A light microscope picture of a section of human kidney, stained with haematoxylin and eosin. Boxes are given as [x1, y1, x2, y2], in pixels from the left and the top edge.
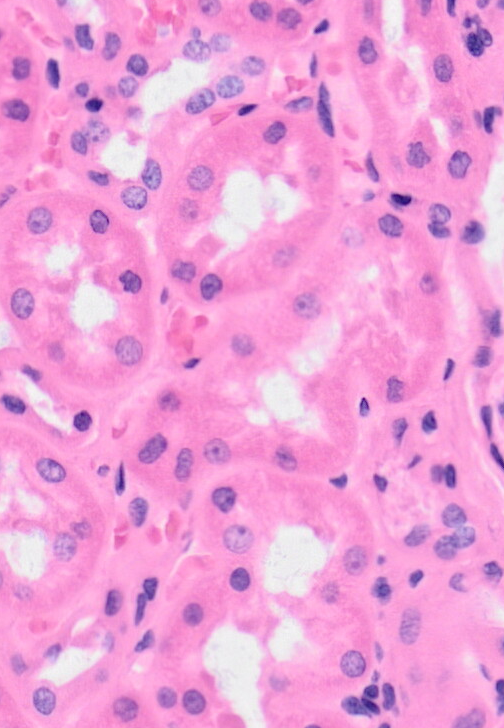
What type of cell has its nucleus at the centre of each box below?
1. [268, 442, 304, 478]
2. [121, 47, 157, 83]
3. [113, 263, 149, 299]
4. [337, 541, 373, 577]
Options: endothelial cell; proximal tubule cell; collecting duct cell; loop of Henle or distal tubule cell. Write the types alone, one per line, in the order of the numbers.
proximal tubule cell
collecting duct cell
proximal tubule cell
proximal tubule cell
